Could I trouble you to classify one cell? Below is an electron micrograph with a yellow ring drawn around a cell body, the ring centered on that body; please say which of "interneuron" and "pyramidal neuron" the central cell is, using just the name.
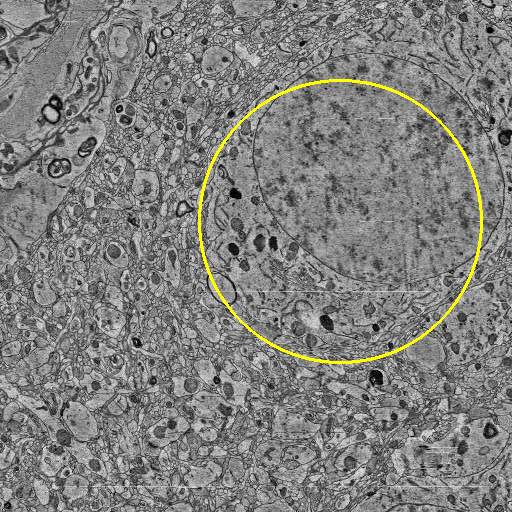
pyramidal neuron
